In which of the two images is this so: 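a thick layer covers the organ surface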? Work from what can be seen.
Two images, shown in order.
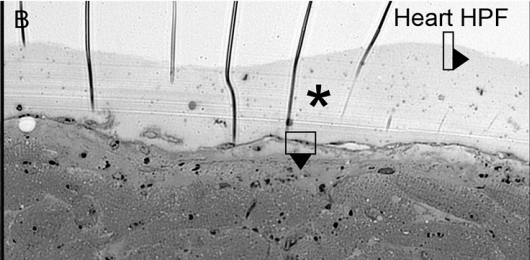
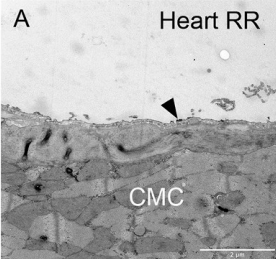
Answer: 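First image: a broad pale band spans a large height above the tissue surface. Second image: only a thin line with few loose fragments lies on the tissue surface.
The first image.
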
